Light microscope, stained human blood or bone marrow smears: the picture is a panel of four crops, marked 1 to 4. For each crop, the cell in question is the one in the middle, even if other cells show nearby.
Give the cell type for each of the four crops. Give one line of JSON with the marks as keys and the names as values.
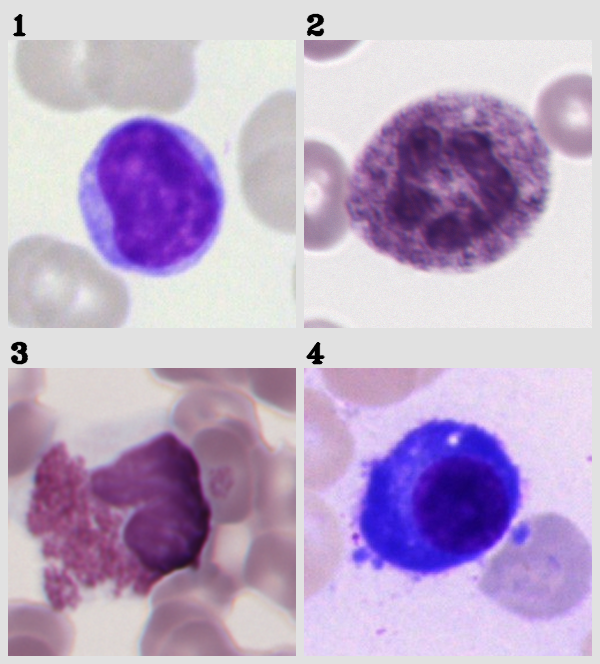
{"1": "lymphocyte", "2": "eosinophil", "3": "eosinophil", "4": "plasma cell"}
